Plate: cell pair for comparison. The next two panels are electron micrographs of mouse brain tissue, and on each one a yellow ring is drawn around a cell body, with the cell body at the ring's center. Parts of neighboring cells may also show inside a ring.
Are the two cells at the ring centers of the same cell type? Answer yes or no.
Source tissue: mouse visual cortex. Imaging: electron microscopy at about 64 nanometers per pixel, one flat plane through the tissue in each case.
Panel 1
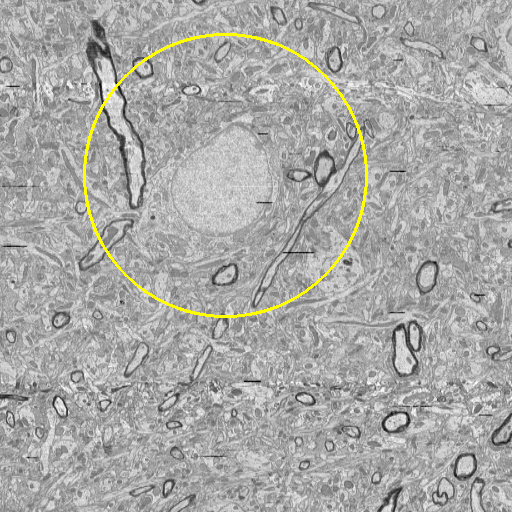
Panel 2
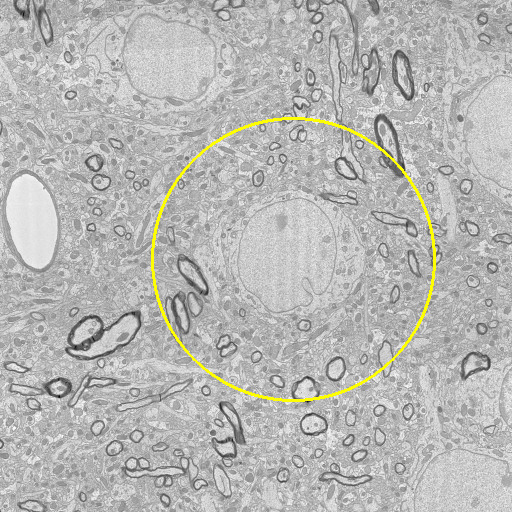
no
